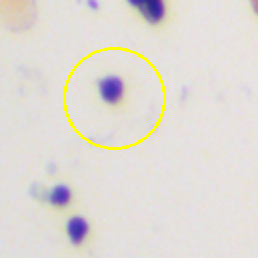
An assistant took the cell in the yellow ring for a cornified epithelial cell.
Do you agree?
I disagree, it is a leukocyte.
